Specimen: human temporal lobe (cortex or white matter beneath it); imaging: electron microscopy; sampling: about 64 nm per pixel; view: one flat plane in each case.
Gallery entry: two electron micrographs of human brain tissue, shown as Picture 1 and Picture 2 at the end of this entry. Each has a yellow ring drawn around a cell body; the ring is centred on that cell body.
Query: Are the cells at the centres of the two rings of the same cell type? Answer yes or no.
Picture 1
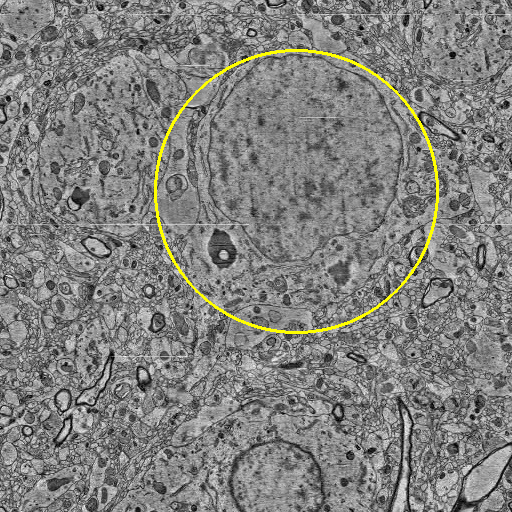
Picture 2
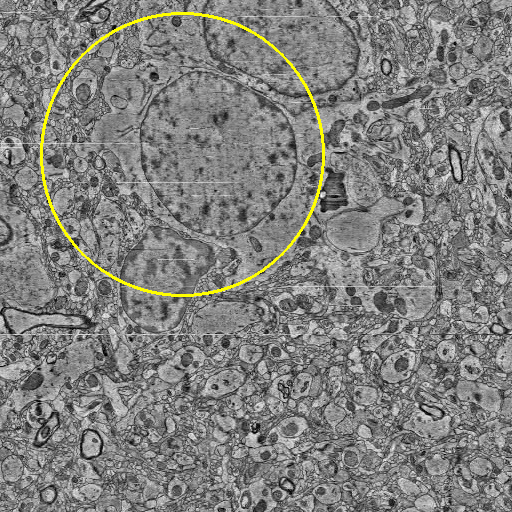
no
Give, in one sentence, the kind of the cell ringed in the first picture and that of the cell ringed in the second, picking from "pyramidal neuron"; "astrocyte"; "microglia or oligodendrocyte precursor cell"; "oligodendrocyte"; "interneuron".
For the first picture it is an interneuron; for the second, an astrocyte.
